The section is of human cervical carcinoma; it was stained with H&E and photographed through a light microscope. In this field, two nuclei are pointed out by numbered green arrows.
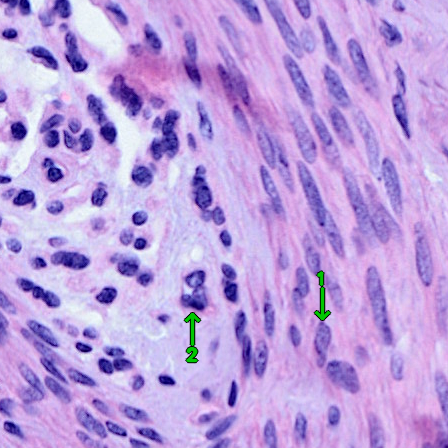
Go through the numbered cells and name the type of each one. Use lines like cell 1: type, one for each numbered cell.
cell 1: smooth muscle cell
cell 2: endothelial cell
